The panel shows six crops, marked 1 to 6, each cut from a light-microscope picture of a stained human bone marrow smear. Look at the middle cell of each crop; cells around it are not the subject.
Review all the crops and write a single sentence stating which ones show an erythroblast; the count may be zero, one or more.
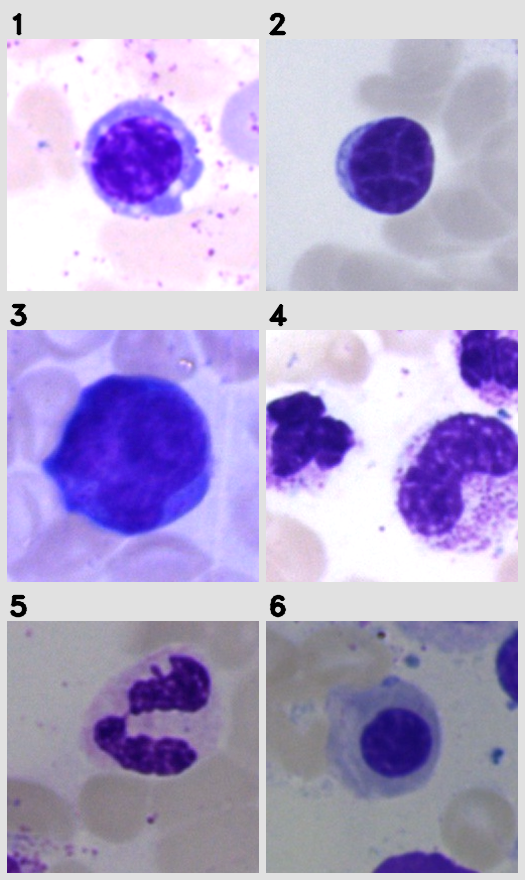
Crops 1 and 6 feature erythroblasts as the cells at their centres.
